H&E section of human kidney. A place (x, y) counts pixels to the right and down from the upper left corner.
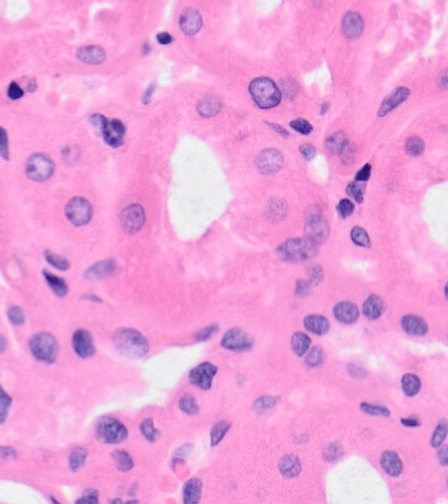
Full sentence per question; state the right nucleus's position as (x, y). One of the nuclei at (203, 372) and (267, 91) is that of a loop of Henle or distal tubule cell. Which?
It is at (203, 372) that the nucleus of a loop of Henle or distal tubule cell is found.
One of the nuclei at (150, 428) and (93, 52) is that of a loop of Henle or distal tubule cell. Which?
It is the nucleus at (150, 428), not the other one, that belongs to a loop of Henle or distal tubule cell.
